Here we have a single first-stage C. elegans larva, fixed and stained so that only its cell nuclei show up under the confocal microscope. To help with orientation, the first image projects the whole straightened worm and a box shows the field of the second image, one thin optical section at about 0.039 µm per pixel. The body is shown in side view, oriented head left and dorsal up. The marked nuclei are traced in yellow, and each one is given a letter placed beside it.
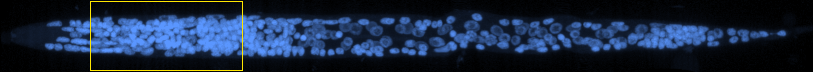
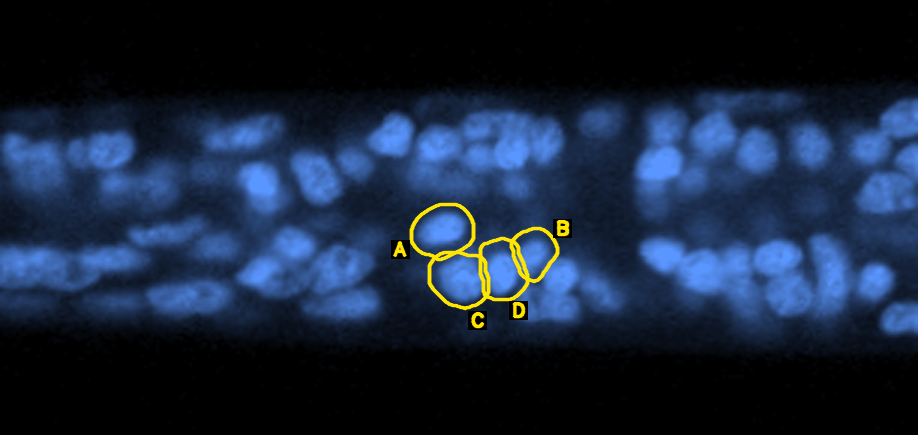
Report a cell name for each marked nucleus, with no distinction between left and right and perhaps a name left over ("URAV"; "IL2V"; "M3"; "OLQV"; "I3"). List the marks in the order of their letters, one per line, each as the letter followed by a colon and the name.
A: M3
B: OLQV
C: IL2V
D: URAV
